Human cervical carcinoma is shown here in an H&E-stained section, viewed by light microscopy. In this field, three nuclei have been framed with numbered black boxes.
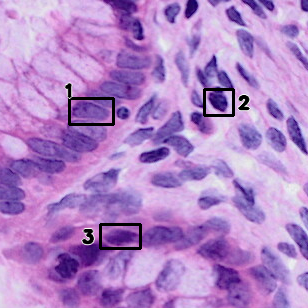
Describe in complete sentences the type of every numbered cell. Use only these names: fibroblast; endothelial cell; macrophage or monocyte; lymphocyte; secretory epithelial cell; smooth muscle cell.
Cell 1 is a secretory epithelial cell, cell 2 is a lymphocyte and cell 3 is a secretory epithelial cell.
